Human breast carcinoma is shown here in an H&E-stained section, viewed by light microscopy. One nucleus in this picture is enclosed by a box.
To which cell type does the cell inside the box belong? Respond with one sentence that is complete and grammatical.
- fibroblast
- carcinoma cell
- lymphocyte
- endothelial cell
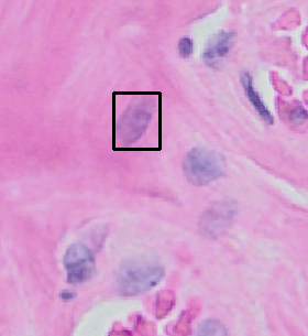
It is as a fibroblast that the cell inside the box is recorded.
